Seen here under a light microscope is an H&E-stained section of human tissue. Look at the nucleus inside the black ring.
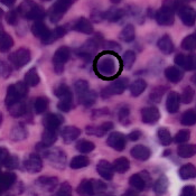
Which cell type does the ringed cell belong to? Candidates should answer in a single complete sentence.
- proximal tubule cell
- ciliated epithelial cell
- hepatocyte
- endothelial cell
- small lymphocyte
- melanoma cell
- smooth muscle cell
In this section, the ringed cell is a small lymphocyte.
